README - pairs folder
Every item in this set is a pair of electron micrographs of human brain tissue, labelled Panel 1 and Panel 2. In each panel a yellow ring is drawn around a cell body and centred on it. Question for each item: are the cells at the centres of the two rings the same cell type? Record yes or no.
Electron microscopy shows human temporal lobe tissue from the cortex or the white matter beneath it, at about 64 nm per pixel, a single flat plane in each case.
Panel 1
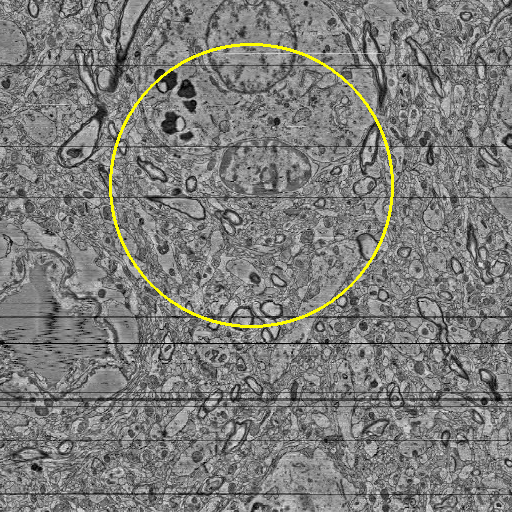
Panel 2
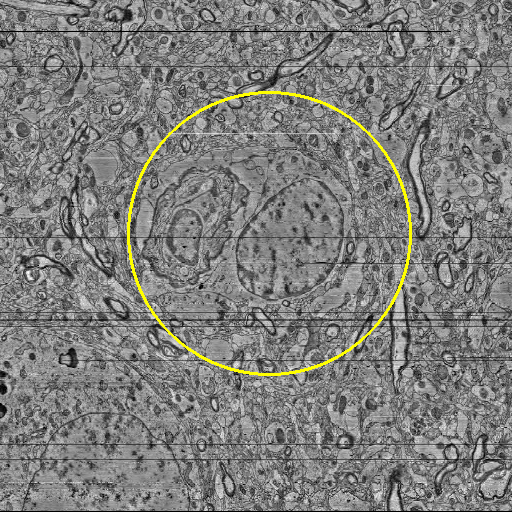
yes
